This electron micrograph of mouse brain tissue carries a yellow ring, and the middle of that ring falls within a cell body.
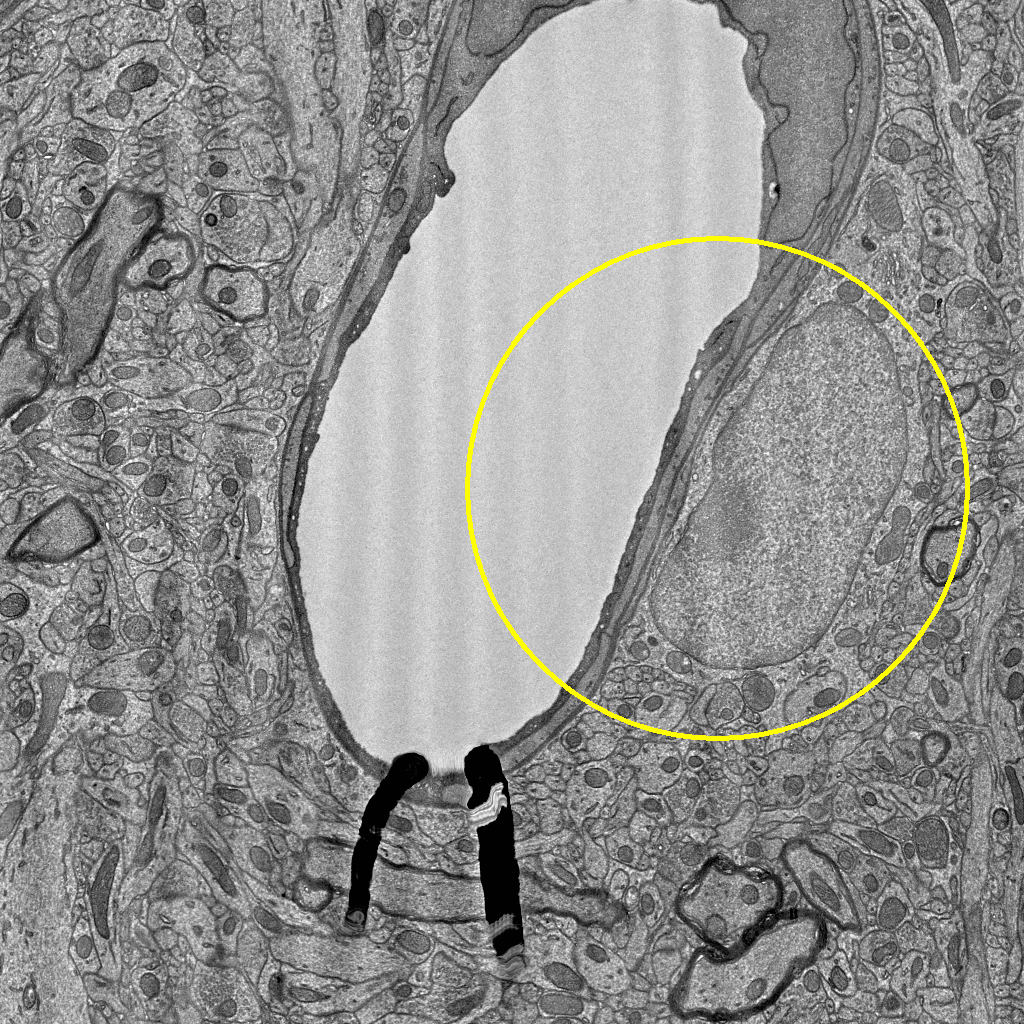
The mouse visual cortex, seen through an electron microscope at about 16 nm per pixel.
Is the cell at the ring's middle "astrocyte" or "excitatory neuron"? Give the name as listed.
astrocyte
